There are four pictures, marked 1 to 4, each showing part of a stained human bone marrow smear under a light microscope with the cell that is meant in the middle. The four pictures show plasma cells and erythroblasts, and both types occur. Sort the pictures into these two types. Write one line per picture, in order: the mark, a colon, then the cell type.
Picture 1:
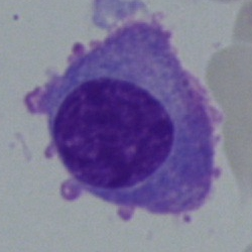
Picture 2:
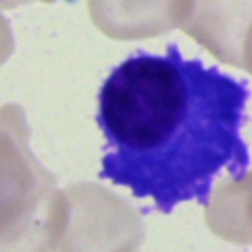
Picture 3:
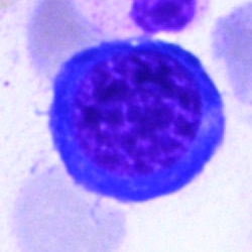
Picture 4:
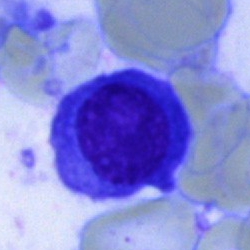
1: plasma cell
2: plasma cell
3: erythroblast
4: plasma cell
